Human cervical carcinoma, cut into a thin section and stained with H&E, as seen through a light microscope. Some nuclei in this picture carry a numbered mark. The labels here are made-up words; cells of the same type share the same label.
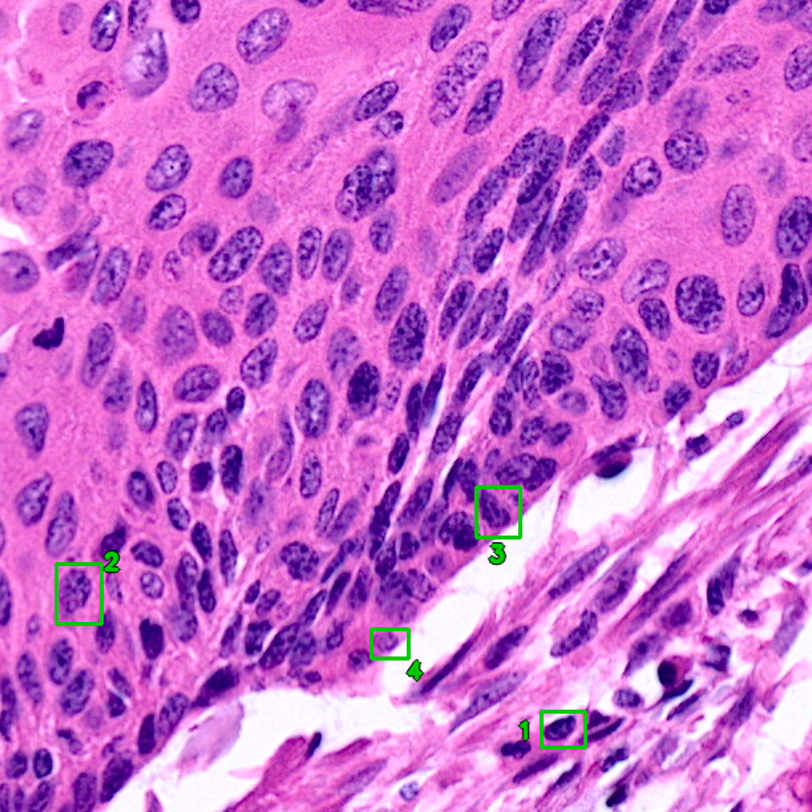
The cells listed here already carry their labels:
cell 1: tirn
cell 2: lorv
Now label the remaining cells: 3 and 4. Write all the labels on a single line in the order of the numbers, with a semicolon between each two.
lorv; lorv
